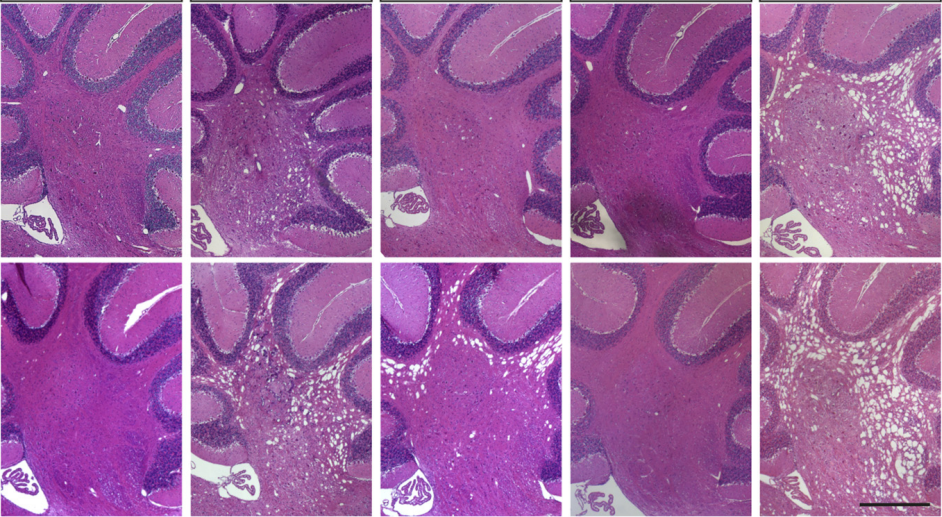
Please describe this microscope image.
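These are sections of cerebellum, with folded lobules showing a dark purple, densely packed granular cell layer beneath a pale pink molecular layer and a central core of pink white matter; a frilly choroid plexus lies in the ventricle at the lower left of each section. In several of the sections the white matter is riddled with many clear, round vacuoles of varying size, giving it a spongy look, whereas in others it is uniformly pink and compact.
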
